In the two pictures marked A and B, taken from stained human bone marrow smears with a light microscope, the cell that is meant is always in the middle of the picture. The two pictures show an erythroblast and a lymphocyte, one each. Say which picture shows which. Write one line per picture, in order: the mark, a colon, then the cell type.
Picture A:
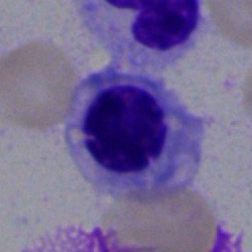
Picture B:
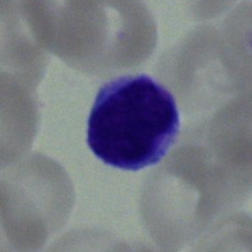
A: erythroblast
B: lymphocyte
